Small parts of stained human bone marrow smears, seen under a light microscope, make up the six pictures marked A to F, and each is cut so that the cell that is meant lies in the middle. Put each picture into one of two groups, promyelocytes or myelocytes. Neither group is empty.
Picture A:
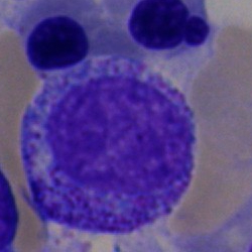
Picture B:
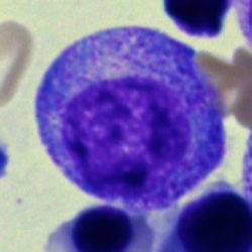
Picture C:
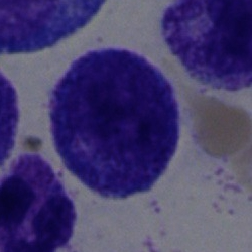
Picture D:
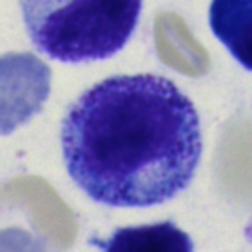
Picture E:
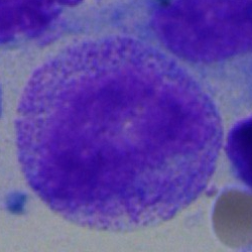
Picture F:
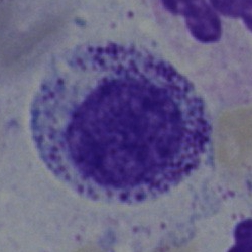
A: promyelocyte
B: promyelocyte
C: promyelocyte
D: promyelocyte
E: myelocyte
F: myelocyte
